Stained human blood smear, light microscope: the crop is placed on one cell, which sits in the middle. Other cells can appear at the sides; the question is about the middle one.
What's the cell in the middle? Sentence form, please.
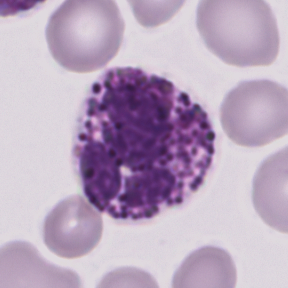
What the crop centres on is a basophil.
